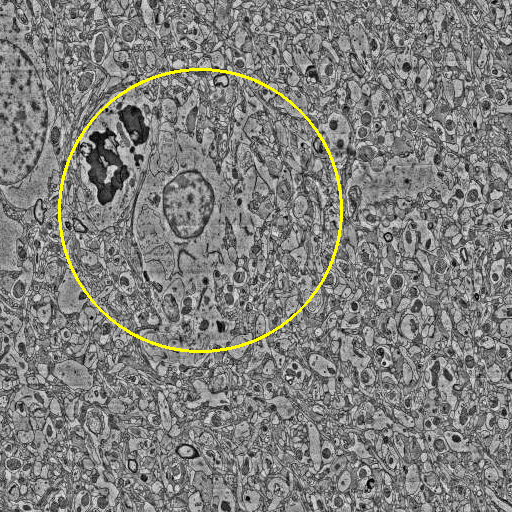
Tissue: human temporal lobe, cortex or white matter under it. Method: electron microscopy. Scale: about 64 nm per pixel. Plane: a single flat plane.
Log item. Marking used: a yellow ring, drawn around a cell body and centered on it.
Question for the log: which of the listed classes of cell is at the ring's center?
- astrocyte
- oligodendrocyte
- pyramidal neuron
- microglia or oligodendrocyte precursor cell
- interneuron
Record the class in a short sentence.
At the center of the ring lies an astrocyte.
